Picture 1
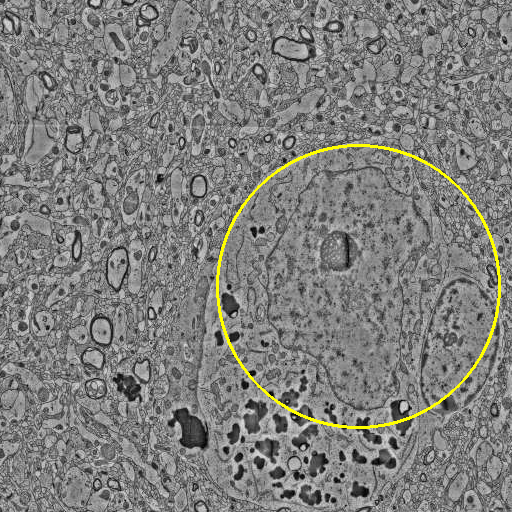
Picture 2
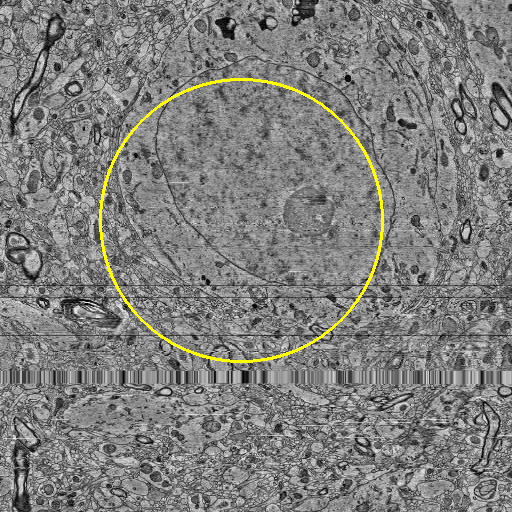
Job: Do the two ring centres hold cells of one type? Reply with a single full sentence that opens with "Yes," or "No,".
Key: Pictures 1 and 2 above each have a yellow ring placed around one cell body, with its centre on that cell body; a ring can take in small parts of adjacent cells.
No, the cells at the two ring centres are of two separate types.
